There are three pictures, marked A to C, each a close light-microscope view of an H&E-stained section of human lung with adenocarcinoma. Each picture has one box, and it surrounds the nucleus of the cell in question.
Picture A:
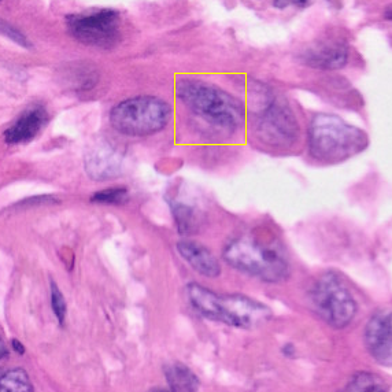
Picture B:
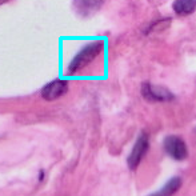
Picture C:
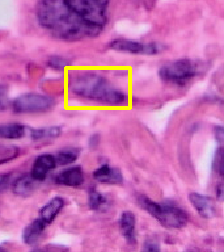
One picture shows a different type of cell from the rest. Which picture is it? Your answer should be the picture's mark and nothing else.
A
